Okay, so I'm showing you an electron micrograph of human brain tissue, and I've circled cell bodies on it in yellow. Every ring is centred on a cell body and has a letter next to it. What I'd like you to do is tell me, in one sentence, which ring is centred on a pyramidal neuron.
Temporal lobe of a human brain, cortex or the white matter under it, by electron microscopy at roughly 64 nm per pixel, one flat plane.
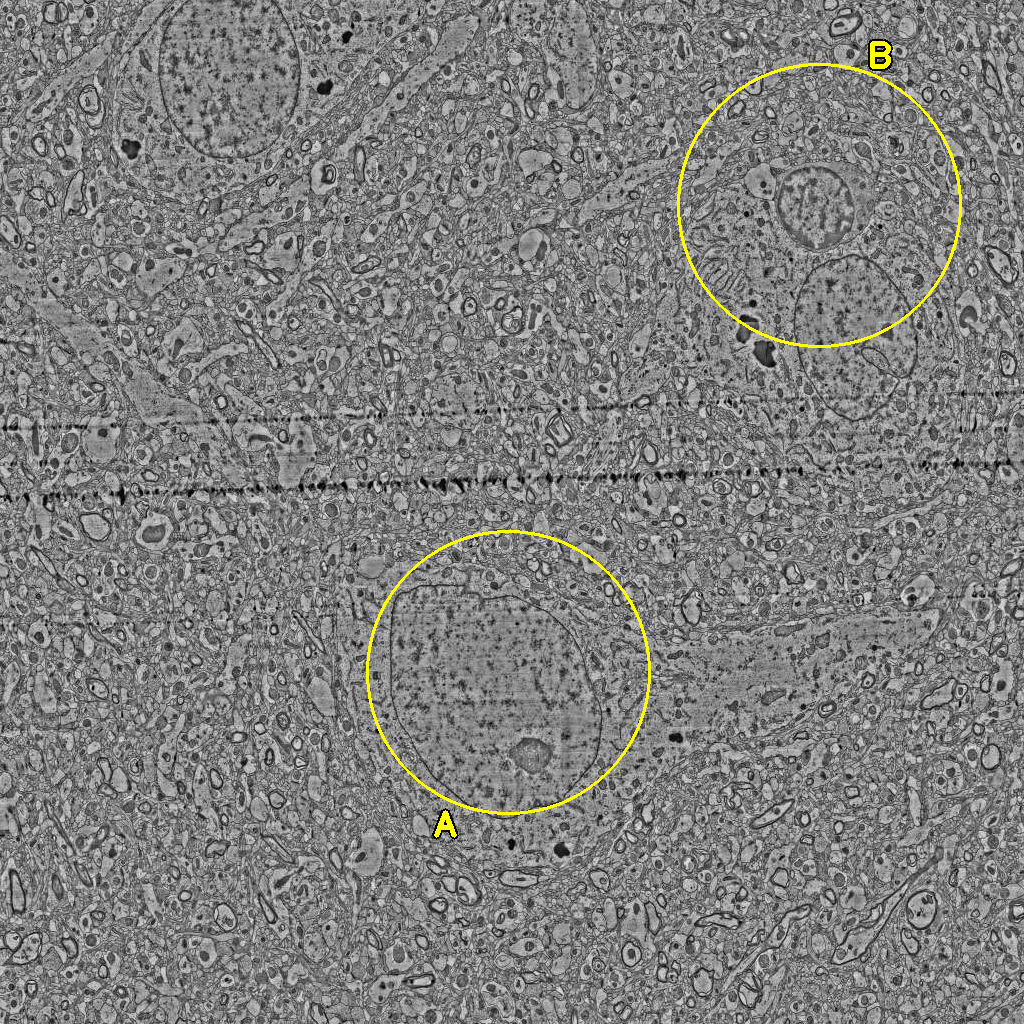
It's ring A.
